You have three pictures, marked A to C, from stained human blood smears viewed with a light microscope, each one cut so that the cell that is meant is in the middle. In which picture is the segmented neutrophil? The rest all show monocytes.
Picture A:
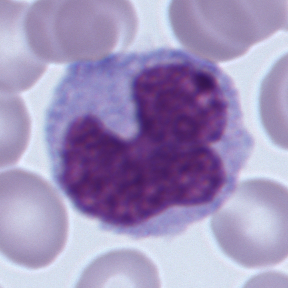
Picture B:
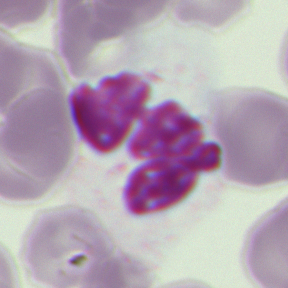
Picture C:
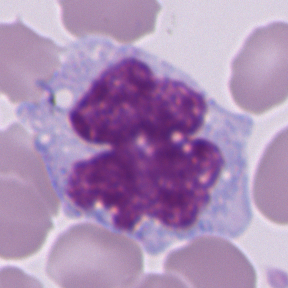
B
